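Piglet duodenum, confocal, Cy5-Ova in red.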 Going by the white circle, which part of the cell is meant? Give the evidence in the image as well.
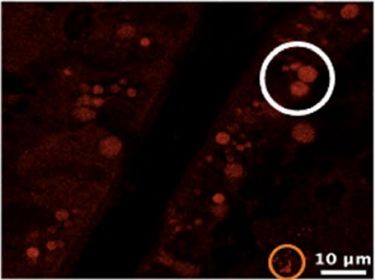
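Vacuole, endosome, and/or lysosome. The circle encloses a small cluster of round red-filled bodies. Many similar round red bodies of varying size lie within the epithelium.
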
